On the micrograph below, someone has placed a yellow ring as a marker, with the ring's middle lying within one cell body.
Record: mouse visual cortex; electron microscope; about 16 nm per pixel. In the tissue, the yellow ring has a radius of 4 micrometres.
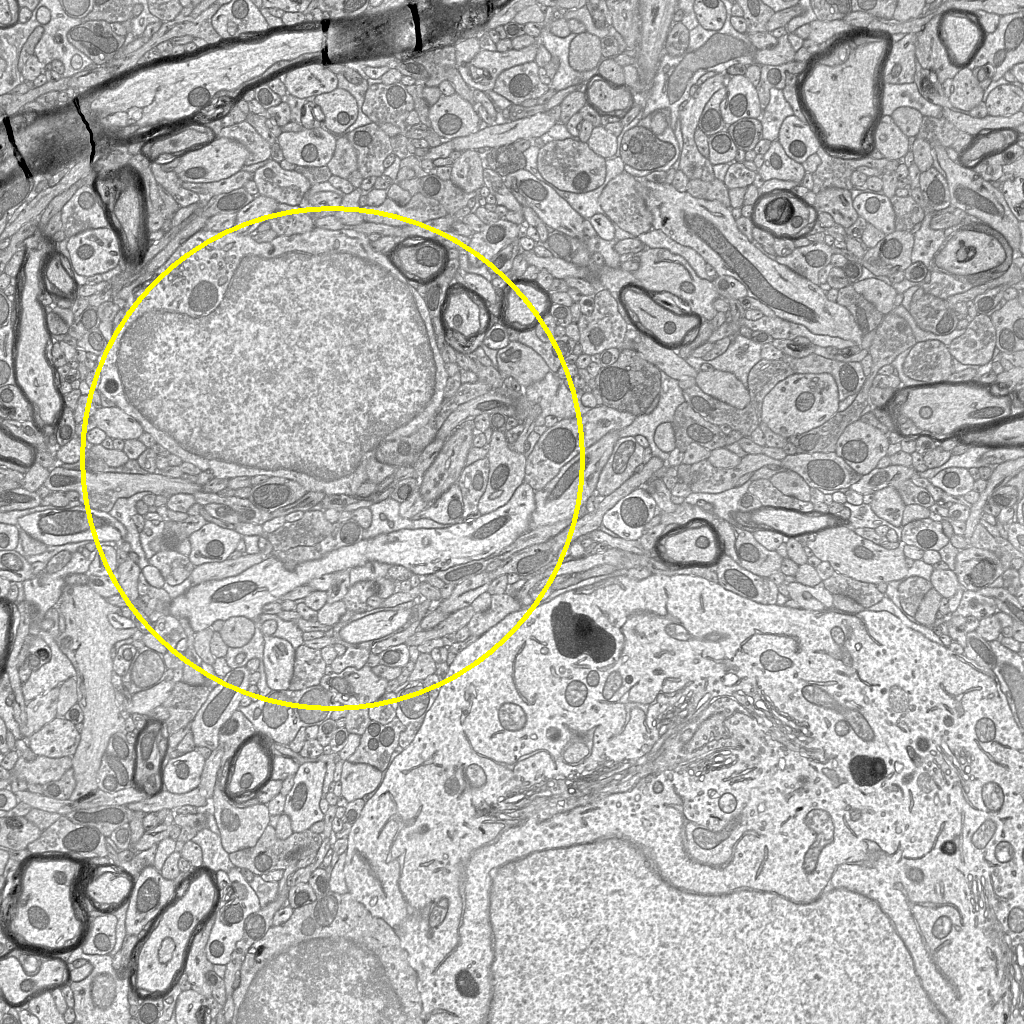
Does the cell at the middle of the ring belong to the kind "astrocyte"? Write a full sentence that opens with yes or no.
No, the micrograph shows another kind of cell at the ring's middle.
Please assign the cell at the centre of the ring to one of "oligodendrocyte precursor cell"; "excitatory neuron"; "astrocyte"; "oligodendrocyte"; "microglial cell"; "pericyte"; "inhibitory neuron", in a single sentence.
It is an oligodendrocyte precursor cell at the centre of the ring.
